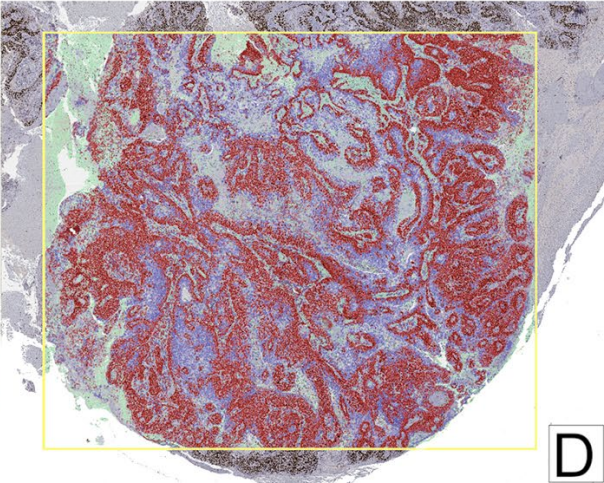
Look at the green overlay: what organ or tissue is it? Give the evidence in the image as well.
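Pale green overlay fills the loose areas between the red-marked cell bands. The green-marked areas lie outside the cords and nests of densely packed red-marked cells.
Hence: stroma.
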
